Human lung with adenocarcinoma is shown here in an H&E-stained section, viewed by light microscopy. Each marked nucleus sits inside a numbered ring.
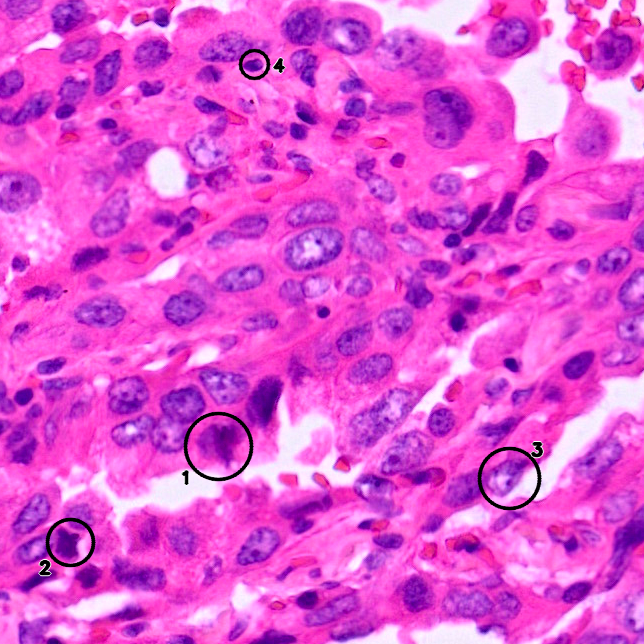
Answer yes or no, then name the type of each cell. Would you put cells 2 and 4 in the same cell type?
No, in this section cell 2 is a carcinoma cell and cell 4 is a lymphocyte.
